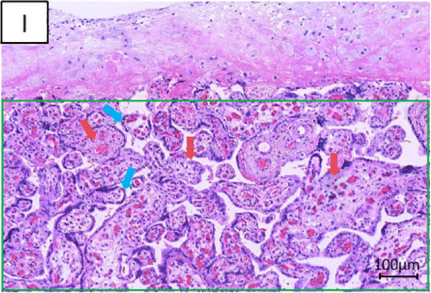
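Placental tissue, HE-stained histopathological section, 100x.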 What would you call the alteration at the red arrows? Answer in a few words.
Delayed Villous Maturation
